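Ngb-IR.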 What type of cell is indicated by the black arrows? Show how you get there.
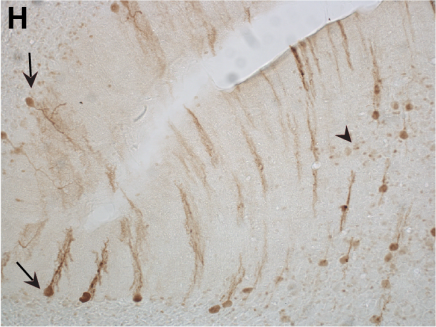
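Purkinje cells. The arrows point to large rounded brown cell bodies at the edge of a layer. Brown streaks rise from such cell bodies through the pale outer layer like dendrites.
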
